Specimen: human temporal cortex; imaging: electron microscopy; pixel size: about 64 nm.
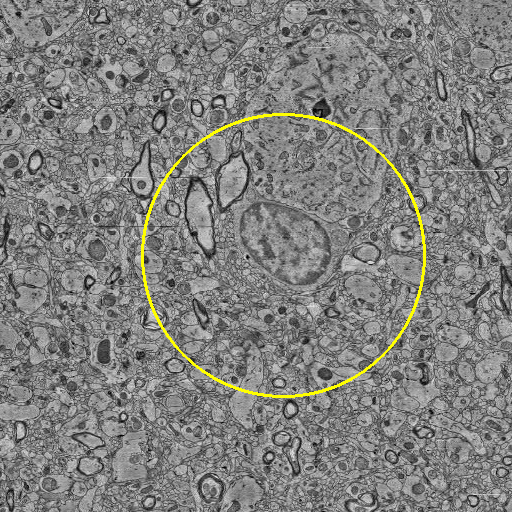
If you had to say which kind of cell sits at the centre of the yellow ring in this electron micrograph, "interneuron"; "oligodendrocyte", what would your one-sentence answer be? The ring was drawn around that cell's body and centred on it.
The cell sitting at the centre of the ring is an oligodendrocyte.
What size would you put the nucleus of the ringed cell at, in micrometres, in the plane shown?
The ringed cell's nucleus is about 6 micrometres long and 4 micrometres wide in this plane.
